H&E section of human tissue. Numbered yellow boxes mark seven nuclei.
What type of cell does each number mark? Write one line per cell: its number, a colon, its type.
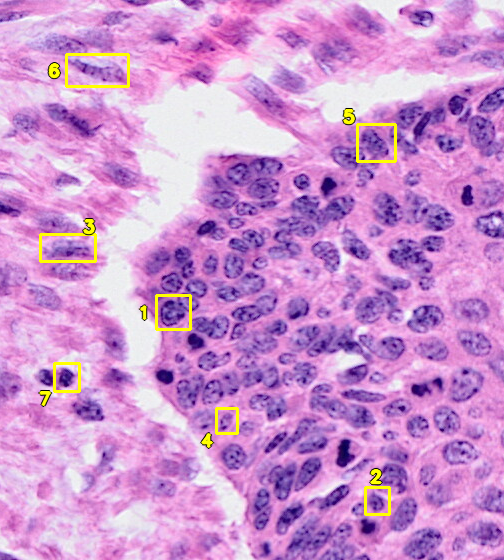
1: squamous carcinoma cell
2: squamous carcinoma cell
3: fibroblast
4: squamous carcinoma cell
5: squamous carcinoma cell
6: fibroblast
7: lymphocyte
